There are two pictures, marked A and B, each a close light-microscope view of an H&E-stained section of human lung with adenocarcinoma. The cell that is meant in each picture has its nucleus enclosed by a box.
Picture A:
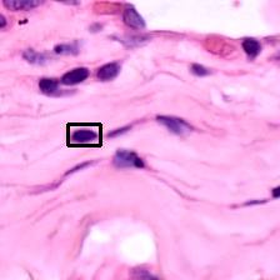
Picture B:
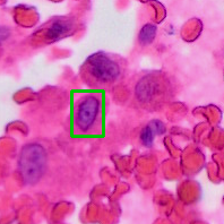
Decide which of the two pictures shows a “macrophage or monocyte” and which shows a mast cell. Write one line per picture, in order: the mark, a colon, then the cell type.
A: mast cell
B: macrophage or monocyte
